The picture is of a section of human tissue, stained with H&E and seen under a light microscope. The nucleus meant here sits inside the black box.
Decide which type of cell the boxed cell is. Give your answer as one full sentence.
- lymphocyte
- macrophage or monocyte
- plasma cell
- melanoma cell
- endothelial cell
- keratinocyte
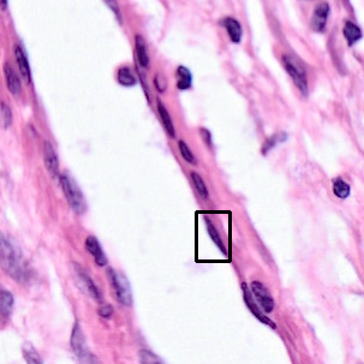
In the tissue under study, the boxed cell is an endothelial cell.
